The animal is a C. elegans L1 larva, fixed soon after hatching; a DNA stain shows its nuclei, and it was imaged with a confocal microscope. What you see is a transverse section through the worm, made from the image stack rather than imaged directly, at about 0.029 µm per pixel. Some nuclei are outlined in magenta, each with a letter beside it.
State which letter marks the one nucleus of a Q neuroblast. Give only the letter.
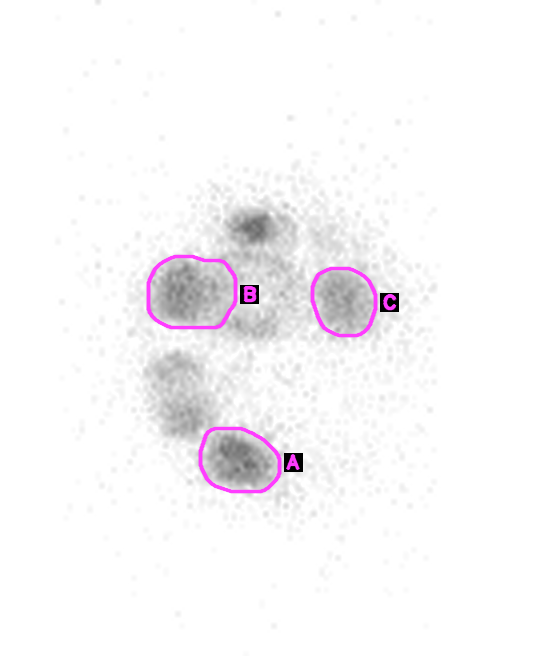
C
